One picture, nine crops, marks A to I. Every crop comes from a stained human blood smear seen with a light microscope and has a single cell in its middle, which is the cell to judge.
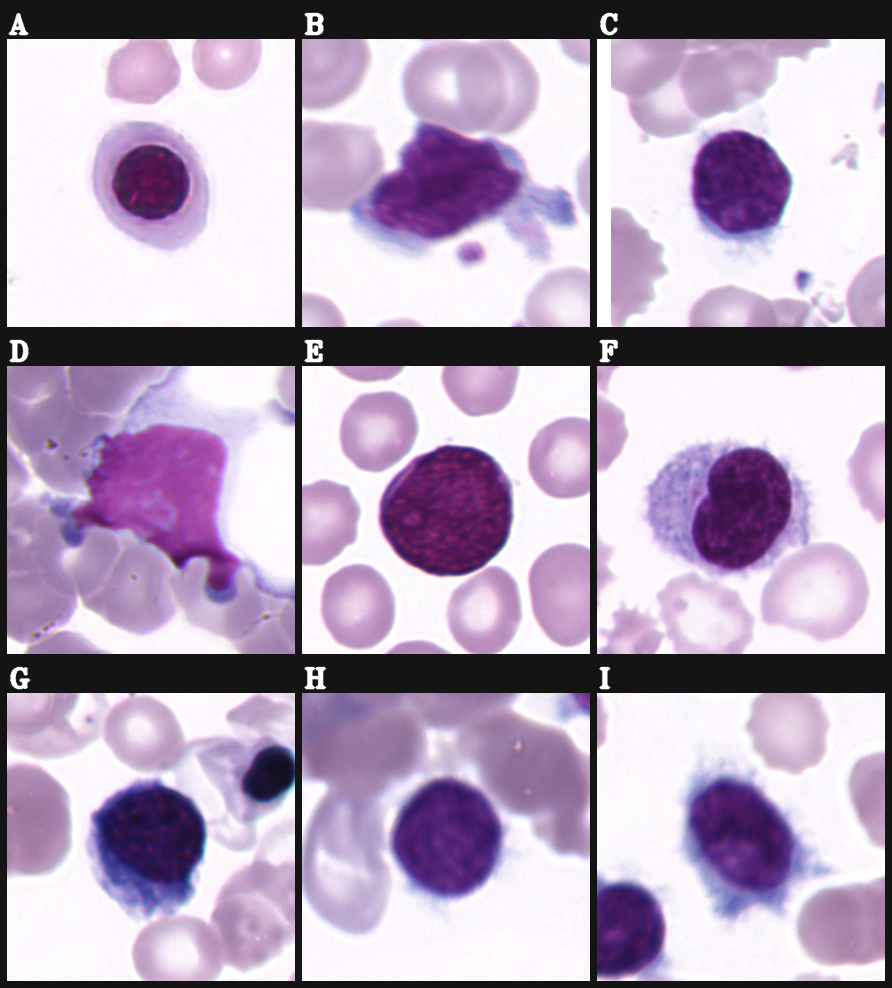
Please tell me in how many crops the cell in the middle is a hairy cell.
4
